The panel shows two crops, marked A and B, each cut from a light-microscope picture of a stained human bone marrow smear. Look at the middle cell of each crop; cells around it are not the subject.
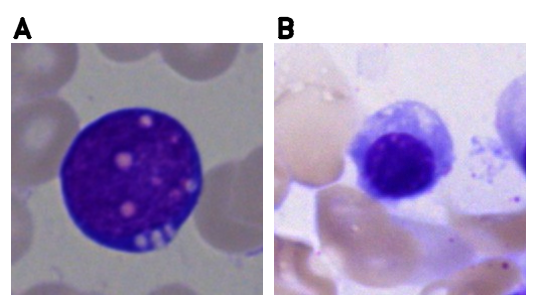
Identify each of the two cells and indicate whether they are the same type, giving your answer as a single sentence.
No, it is a blast in crop A and an erythroblast in crop B.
